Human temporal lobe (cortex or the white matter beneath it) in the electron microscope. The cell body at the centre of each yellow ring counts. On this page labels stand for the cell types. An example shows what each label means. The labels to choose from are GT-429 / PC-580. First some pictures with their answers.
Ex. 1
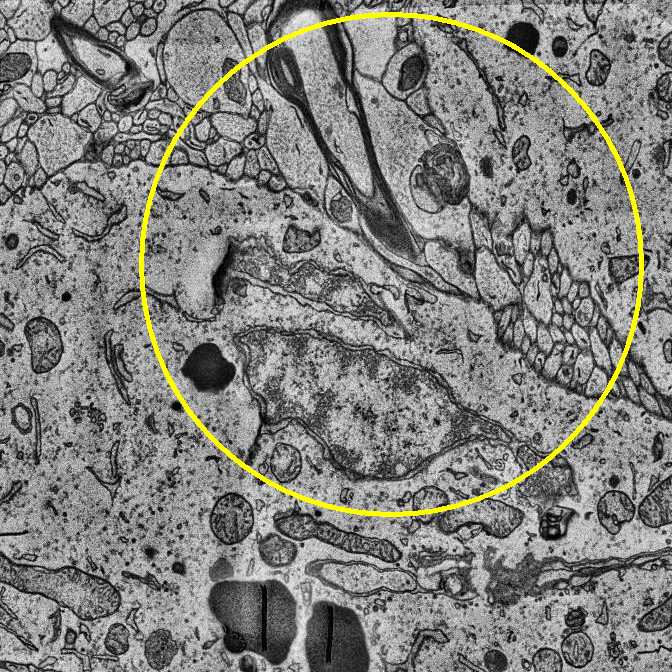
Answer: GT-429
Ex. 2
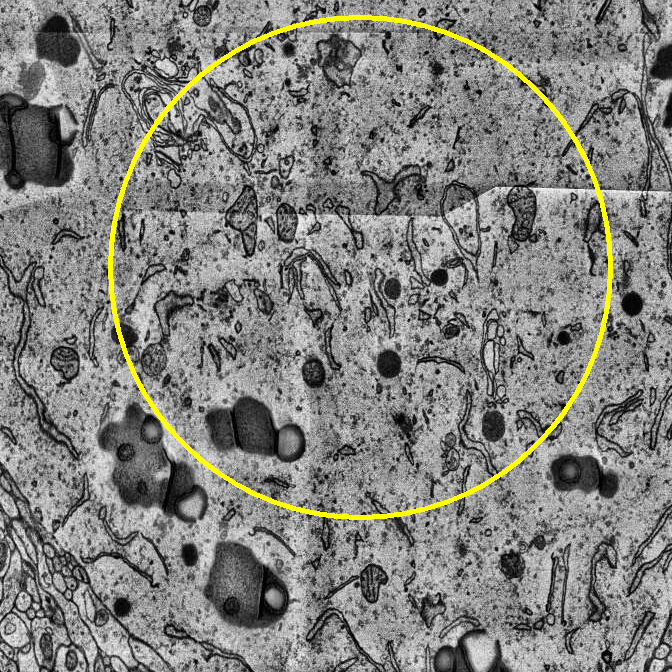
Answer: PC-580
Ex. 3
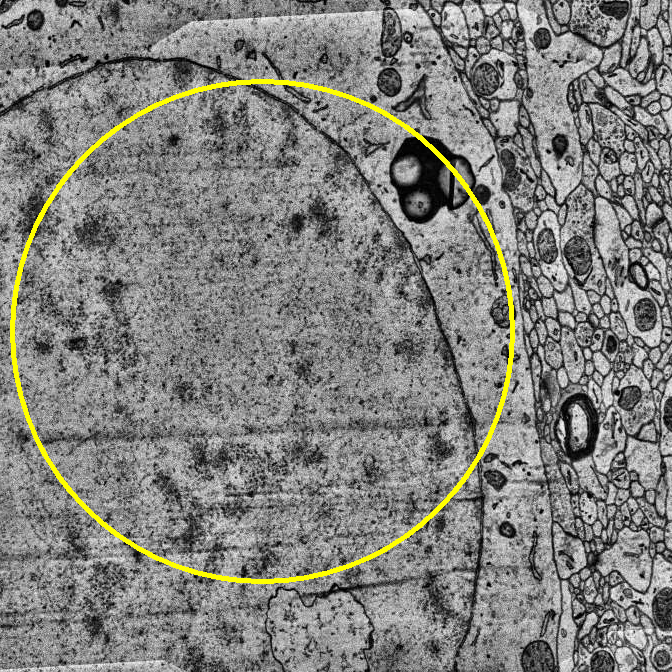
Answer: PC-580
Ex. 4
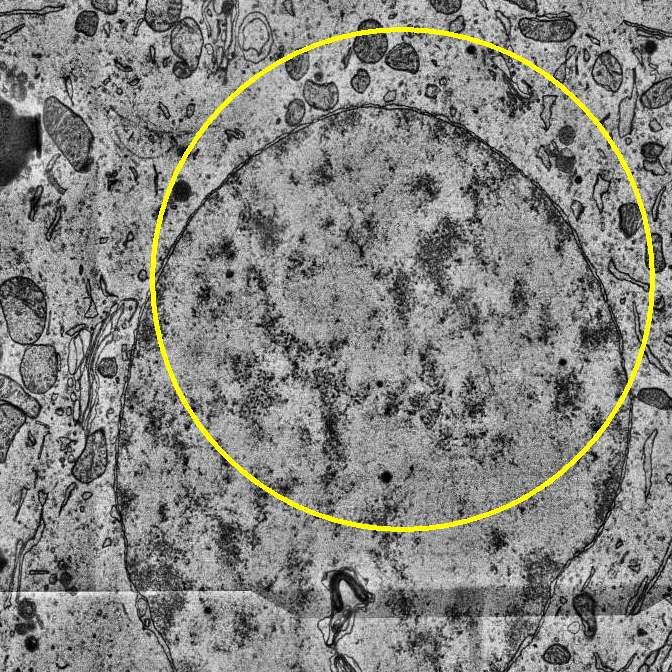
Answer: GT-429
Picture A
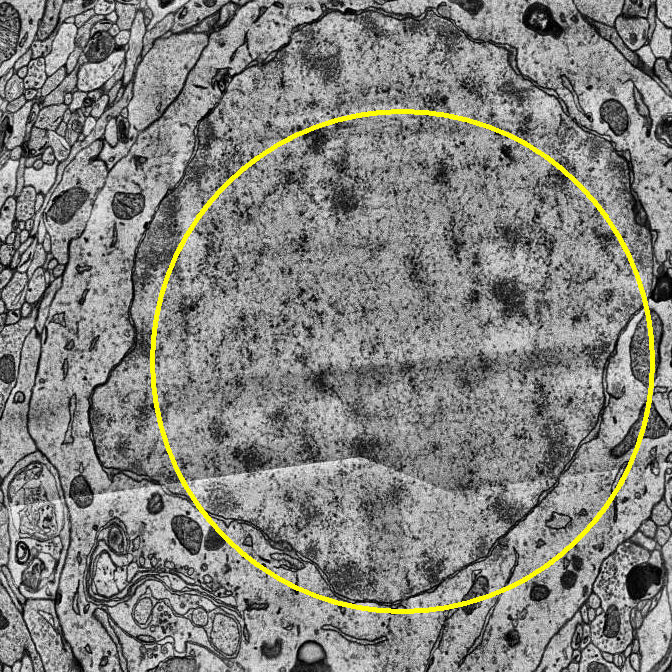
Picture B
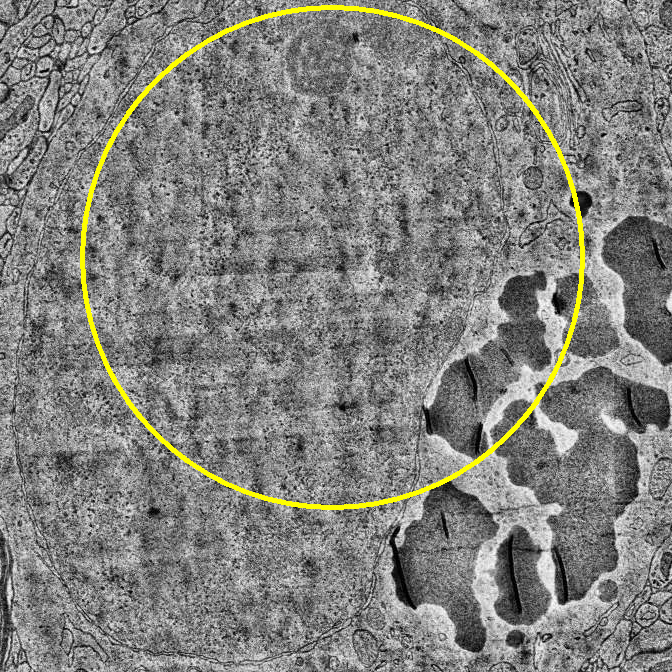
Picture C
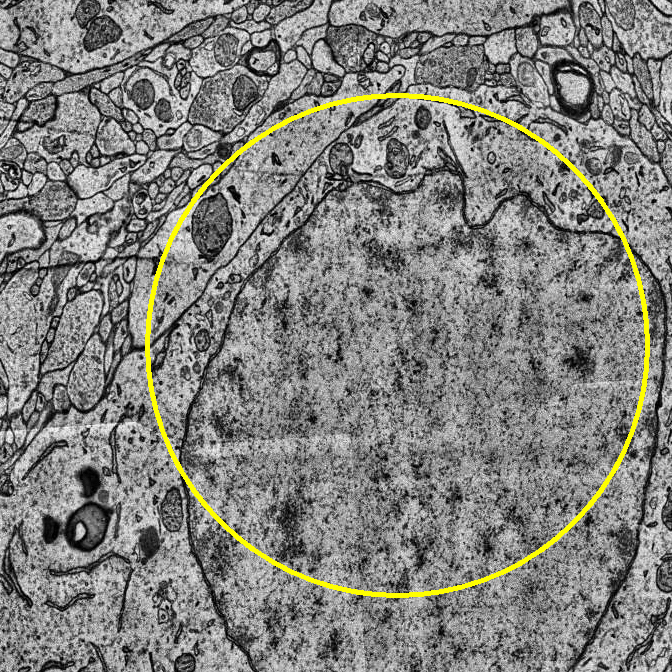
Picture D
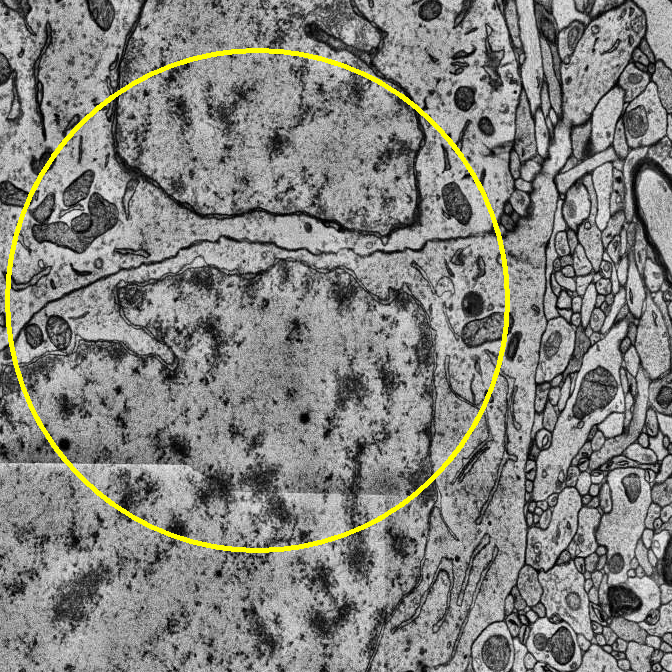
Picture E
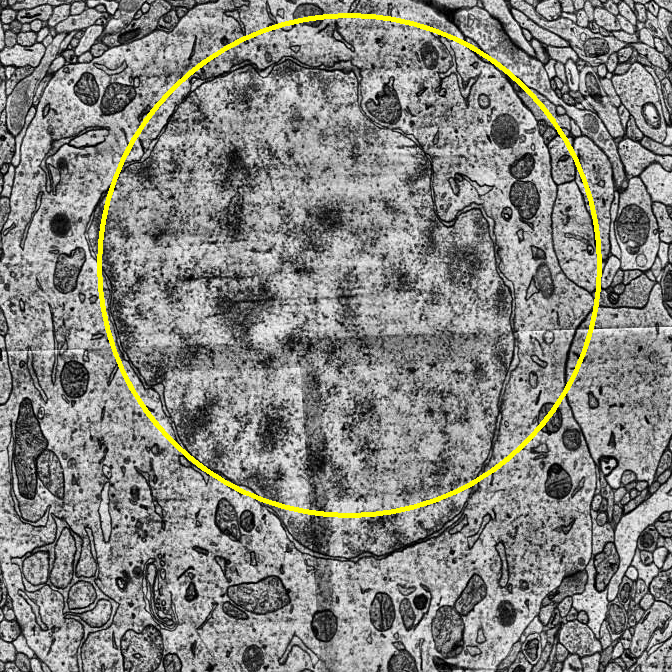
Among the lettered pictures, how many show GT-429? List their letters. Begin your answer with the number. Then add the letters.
4: A, B, D, E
